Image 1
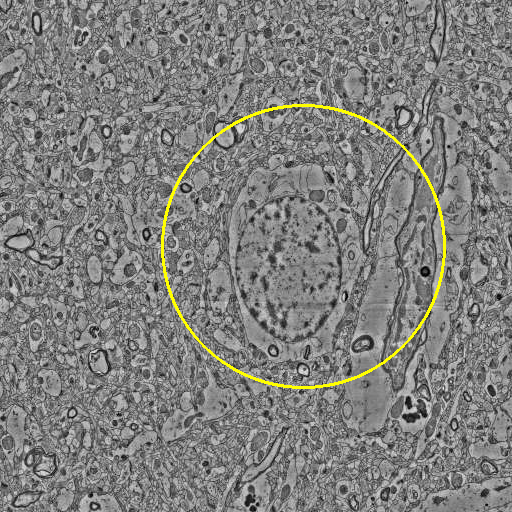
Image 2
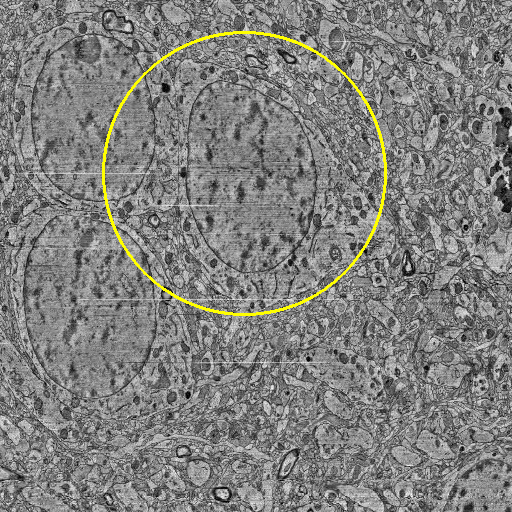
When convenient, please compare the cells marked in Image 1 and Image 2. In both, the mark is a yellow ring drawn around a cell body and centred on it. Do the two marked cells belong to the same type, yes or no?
no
